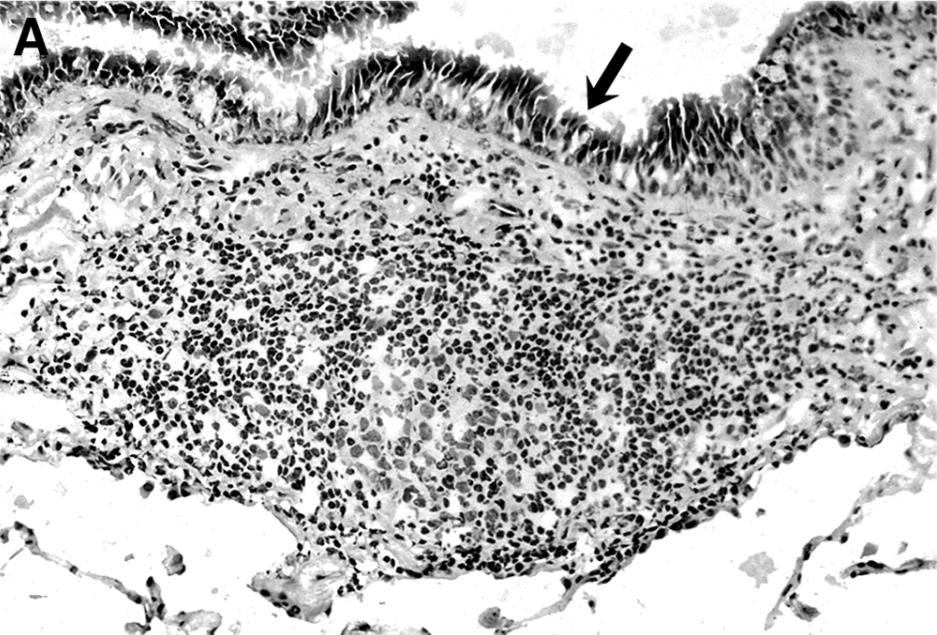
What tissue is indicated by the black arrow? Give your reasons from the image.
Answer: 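The arrow points to a continuous surface lining of tall, closely packed columnar cells. The lining borders an empty lumen at the top of the panel. Elongated dark nuclei are crowded in the lining layer. On this evidence: bronchial epithelia.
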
